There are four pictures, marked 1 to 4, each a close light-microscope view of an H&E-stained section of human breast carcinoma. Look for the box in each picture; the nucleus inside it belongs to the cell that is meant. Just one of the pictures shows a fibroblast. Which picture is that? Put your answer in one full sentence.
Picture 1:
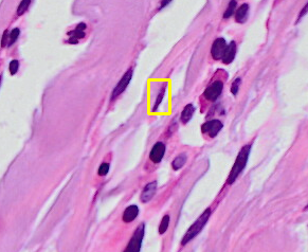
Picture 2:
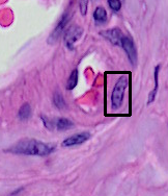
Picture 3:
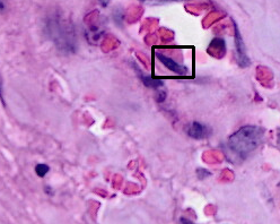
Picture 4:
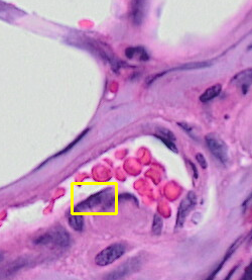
Picture 1 is the one that shows the fibroblast.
